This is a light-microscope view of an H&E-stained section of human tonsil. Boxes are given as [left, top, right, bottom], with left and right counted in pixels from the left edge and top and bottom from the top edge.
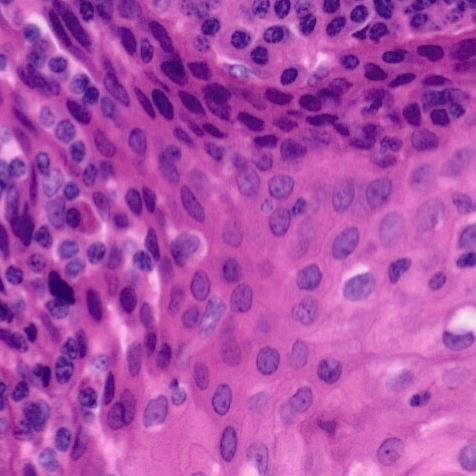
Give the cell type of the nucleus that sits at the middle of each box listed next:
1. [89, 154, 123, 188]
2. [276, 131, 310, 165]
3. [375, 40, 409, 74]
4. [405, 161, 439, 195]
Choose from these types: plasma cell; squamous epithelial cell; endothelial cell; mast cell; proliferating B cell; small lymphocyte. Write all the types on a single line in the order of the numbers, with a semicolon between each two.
squamous epithelial cell; squamous epithelial cell; plasma cell; squamous epithelial cell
